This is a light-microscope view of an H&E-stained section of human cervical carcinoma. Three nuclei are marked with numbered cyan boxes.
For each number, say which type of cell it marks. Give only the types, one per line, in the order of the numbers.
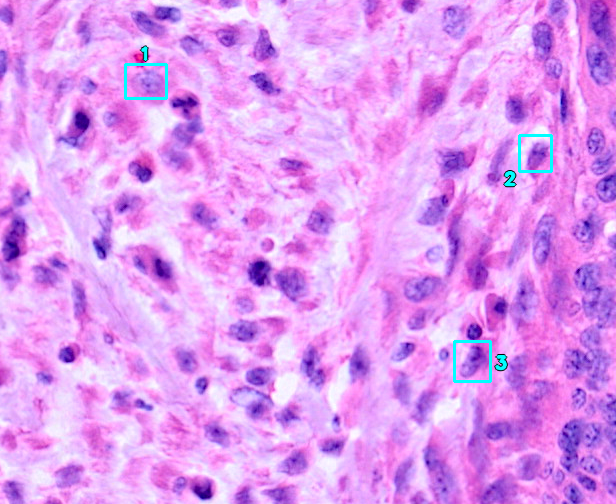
endothelial cell
macrophage or monocyte
macrophage or monocyte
